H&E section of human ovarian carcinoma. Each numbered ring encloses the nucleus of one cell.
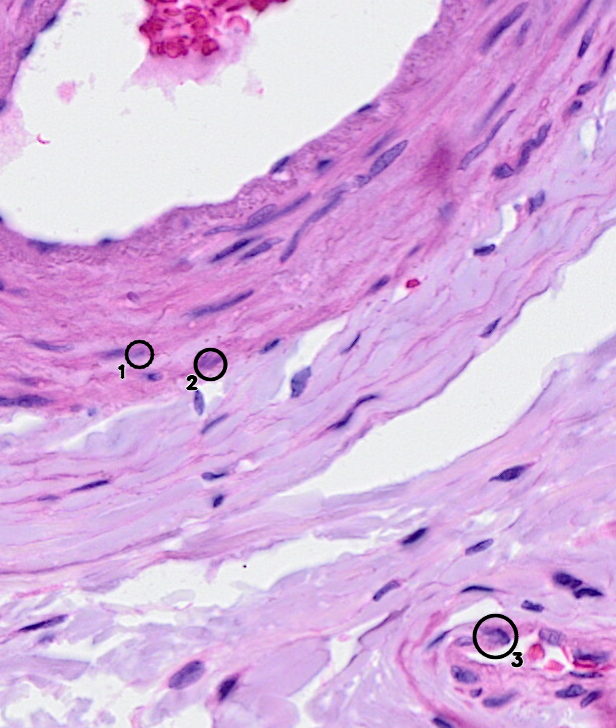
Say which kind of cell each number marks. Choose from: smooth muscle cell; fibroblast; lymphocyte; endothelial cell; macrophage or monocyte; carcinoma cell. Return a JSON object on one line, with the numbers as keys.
{"1": "smooth muscle cell", "2": "smooth muscle cell", "3": "endothelial cell"}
